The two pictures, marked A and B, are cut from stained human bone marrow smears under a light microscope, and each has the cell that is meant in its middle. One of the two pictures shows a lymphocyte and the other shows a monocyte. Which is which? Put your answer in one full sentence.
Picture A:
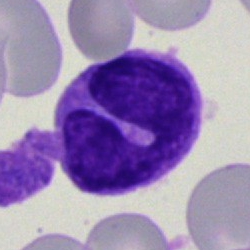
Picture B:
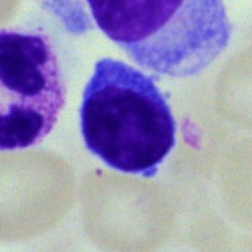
Picture A is of a monocyte, and picture B is of a lymphocyte.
